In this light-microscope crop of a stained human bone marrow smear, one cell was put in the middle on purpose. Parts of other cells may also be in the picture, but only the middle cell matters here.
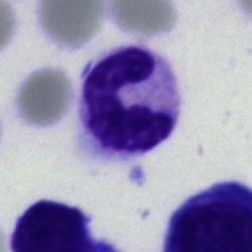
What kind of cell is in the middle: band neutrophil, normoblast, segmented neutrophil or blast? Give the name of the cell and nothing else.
segmented neutrophil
